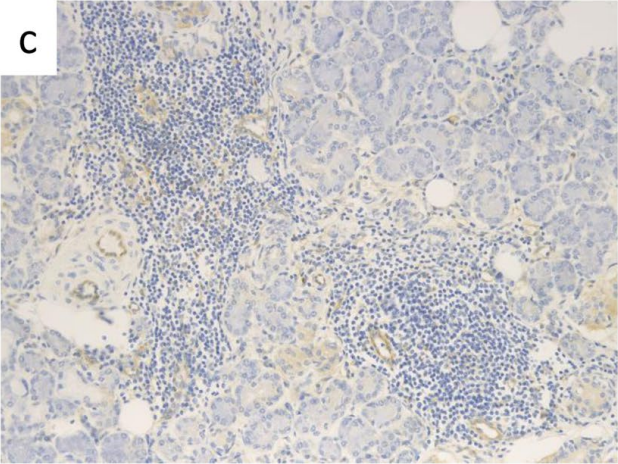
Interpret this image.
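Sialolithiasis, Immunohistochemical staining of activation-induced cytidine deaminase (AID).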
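Salivary gland acini with pale cytoplasm and small basal nuclei are interrupted by two dense clusters of small round cells with dark blue nuclei and scant cytoplasm. These clusters show little brown staining; faint brown is seen mainly in the lining of small ducts and vessels scattered among them. A few round empty spaces, likely fat or ducts, lie in the field. This is a salivary gland with a focal lymphoid cell infiltration between the acini, the infiltrating cells being largely unstained.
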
